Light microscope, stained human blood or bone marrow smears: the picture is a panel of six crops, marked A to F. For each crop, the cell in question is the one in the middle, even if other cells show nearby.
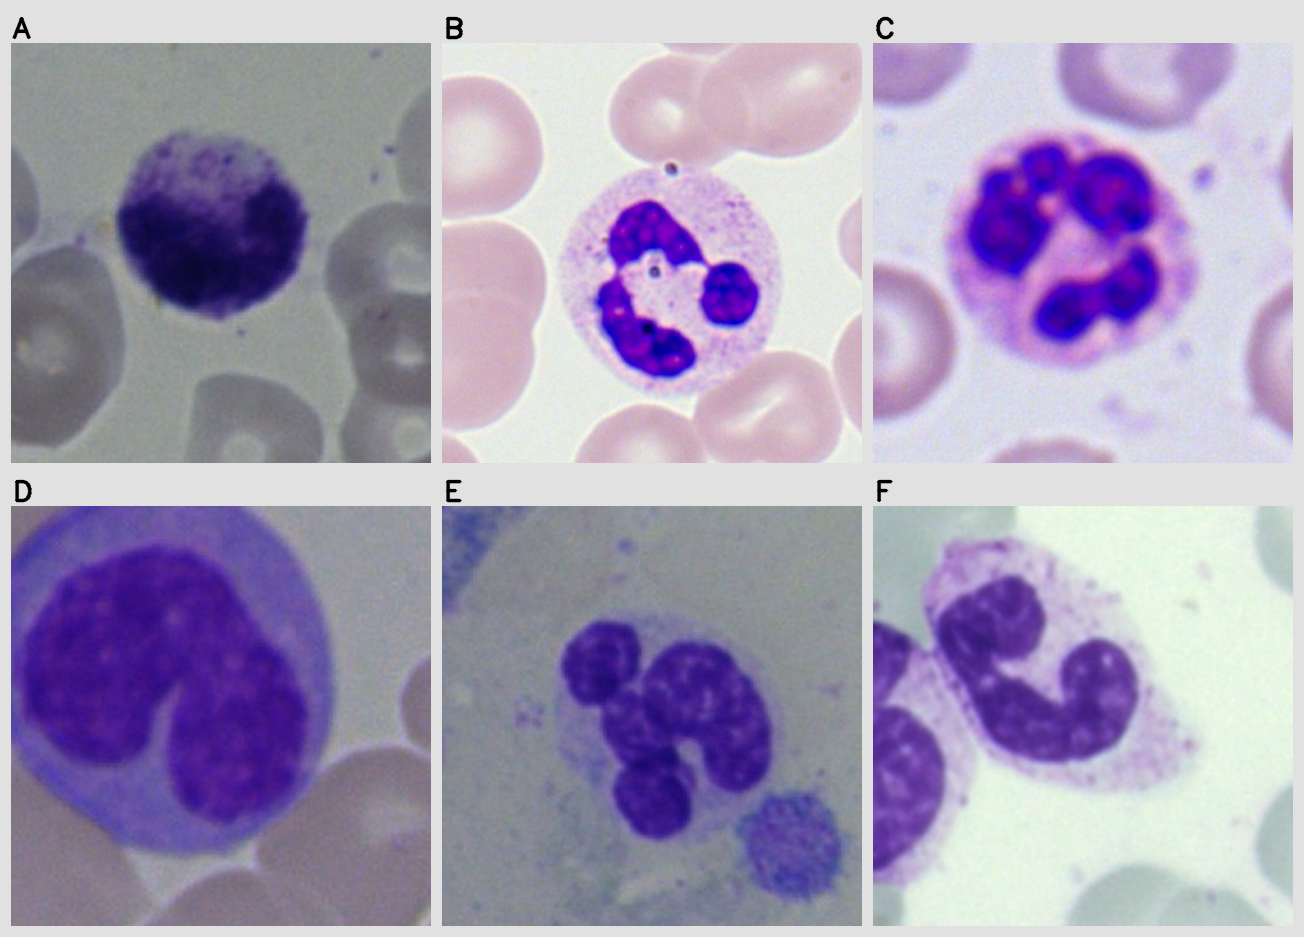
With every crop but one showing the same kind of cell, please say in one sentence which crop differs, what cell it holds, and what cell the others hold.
The set is made up of segmented neutrophils, with the single exception of crop D, which is a monocyte.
